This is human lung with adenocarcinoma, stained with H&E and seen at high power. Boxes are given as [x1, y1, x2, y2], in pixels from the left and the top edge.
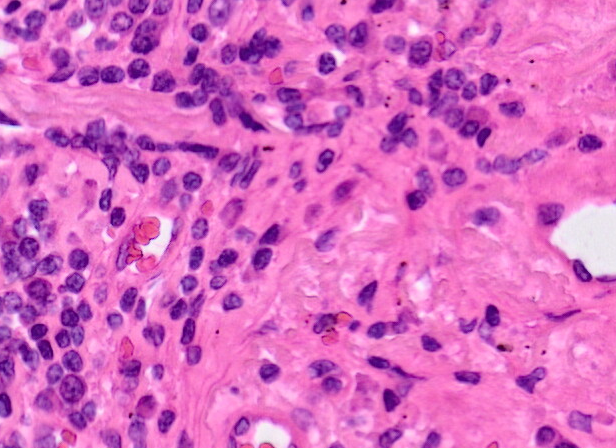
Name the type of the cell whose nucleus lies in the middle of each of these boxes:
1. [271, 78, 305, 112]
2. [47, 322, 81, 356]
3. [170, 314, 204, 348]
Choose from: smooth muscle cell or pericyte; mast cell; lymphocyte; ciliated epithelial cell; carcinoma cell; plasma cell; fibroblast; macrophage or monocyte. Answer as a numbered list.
1. plasma cell
2. lymphocyte
3. lymphocyte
